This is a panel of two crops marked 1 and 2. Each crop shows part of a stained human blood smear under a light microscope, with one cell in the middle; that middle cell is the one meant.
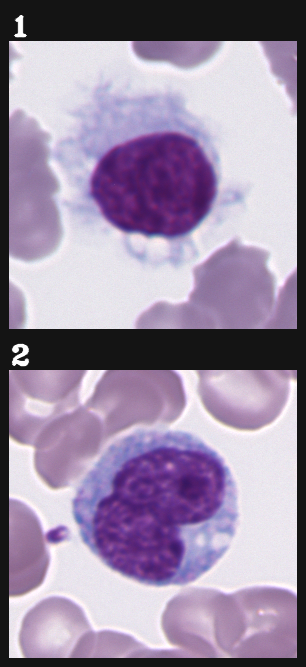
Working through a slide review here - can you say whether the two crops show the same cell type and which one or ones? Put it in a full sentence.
No, the middle of crop 1 shows a hairy cell, and the middle of crop 2 shows a monocyte.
